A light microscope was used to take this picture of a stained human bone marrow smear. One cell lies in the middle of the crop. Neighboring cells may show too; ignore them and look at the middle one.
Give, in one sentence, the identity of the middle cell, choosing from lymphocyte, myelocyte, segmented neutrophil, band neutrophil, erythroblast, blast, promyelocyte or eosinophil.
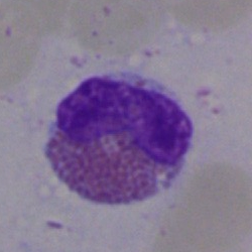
The cell centred in this crop is categorized as an eosinophil.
